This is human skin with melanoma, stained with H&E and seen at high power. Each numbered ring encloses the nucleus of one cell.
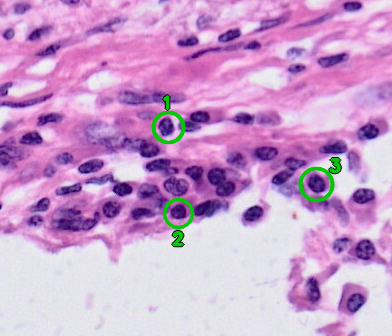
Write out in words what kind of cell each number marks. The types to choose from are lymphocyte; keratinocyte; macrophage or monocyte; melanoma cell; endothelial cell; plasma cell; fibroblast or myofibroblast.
Cell 1 is a lymphocyte. Cells 2 and 3 are plasma cells.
